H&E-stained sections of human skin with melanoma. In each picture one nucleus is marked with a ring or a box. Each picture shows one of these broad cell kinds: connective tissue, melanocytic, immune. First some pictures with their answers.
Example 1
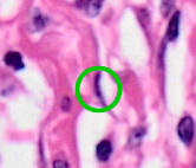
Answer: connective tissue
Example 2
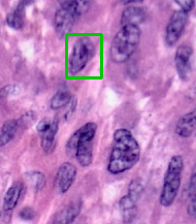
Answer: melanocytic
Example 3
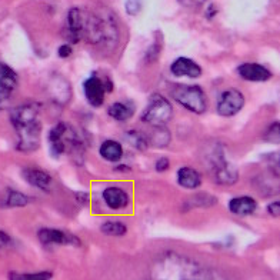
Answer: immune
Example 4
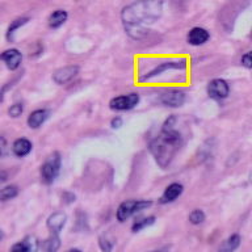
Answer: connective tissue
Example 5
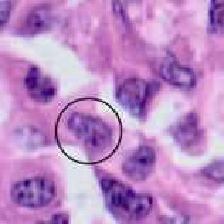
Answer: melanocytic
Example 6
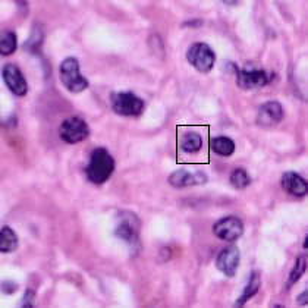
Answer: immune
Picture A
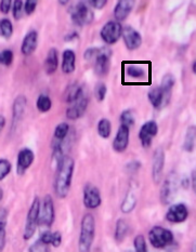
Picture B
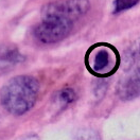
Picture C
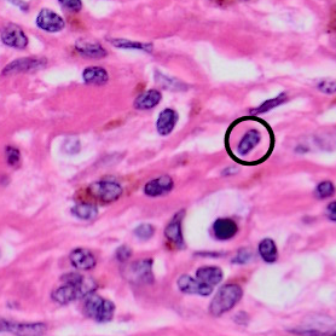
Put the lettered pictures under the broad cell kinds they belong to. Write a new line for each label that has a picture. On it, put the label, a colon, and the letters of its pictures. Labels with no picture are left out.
immune: A, B, C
